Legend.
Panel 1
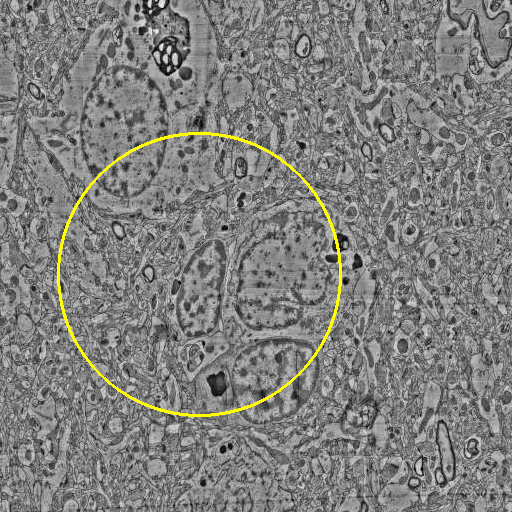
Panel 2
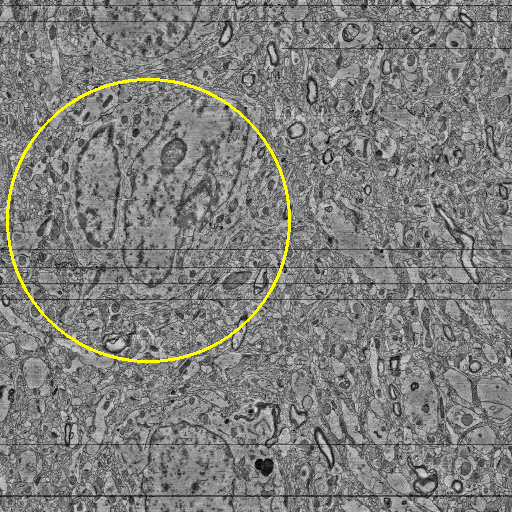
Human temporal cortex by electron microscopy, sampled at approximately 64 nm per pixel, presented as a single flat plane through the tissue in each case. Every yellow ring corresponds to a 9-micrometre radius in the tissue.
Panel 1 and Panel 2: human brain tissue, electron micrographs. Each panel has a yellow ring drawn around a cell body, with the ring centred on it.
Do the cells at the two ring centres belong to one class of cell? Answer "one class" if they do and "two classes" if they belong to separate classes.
two classes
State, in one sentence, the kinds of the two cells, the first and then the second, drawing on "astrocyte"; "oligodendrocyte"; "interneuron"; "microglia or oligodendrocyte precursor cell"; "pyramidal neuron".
The ring in the second picture is centred on an interneuron, the ring in the first on a microglial cell or oligodendrocyte precursor cell.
